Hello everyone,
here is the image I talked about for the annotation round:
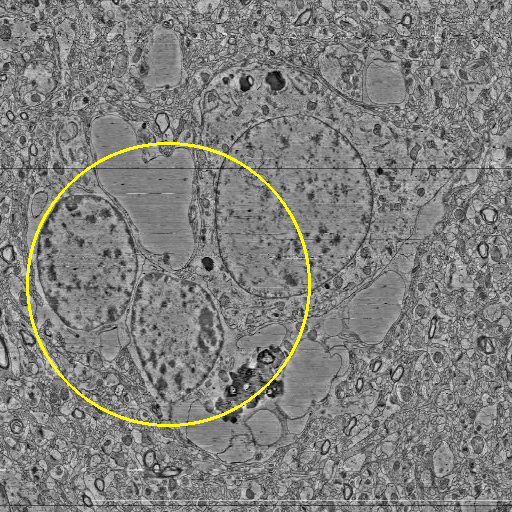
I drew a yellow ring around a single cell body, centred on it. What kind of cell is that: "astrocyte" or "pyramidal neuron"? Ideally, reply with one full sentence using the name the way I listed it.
The cell your yellow ring is centred on is an astrocyte, going by your list.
